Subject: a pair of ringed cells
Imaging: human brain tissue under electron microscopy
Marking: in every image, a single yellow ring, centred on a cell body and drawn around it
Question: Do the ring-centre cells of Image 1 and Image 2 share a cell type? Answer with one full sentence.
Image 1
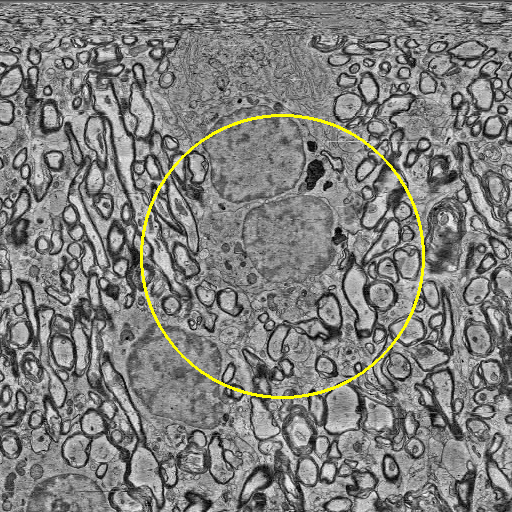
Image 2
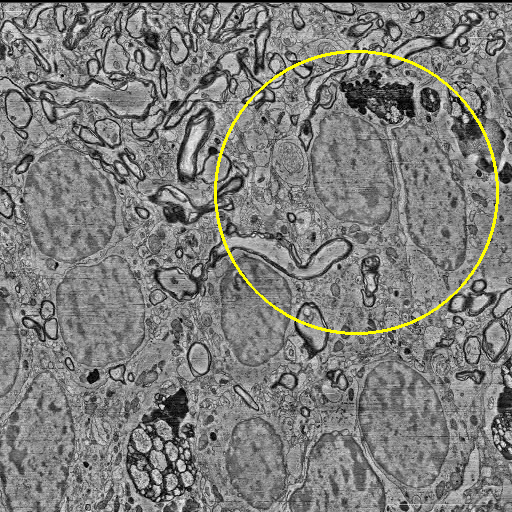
Yes, at each ring's centre in the images sits a cell of one common type.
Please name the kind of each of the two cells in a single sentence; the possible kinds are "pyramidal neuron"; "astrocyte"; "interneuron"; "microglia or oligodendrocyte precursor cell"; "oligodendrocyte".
The cell in the first picture is an oligodendrocyte, and so is the one in the second.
